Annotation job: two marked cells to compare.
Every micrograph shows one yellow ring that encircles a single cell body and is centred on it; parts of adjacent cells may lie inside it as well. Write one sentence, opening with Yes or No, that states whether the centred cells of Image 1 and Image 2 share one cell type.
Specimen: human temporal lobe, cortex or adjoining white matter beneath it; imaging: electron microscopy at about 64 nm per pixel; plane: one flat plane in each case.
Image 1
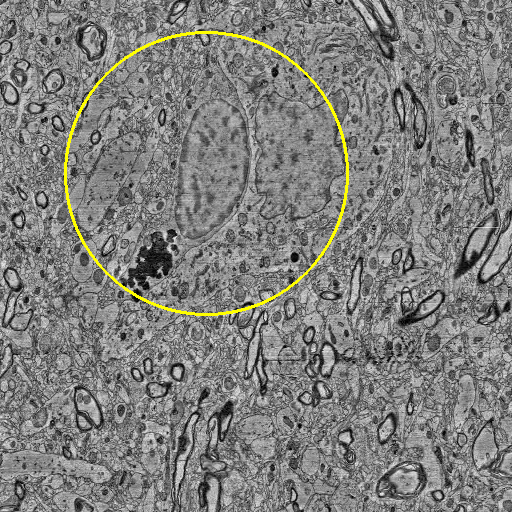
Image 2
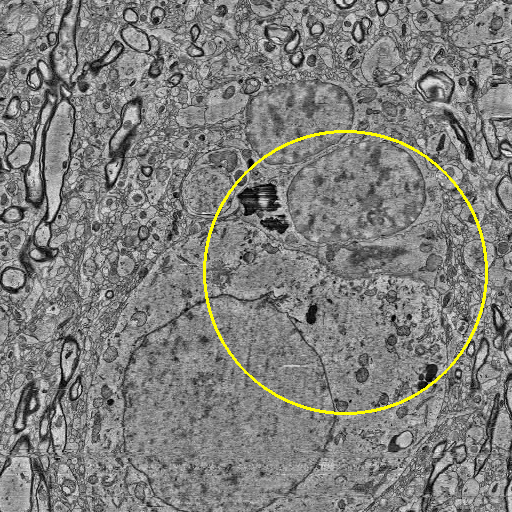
Yes, the cell centred in Image 1 shares its type with the cell centred in Image 2.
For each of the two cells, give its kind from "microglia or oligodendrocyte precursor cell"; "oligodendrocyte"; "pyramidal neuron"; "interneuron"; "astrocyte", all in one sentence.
The cell in the first picture is an oligodendrocyte, and so is the one in the second.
